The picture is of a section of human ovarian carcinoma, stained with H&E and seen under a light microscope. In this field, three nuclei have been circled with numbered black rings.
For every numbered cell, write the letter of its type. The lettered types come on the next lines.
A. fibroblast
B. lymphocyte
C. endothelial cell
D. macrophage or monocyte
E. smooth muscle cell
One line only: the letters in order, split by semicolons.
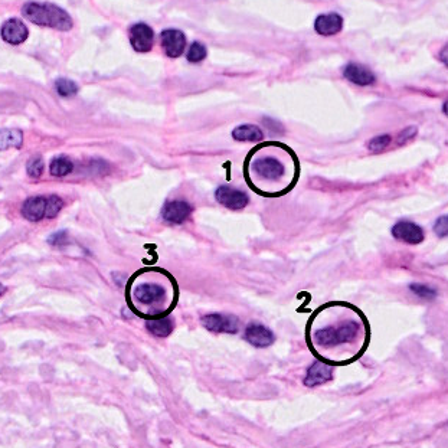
B; D; B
